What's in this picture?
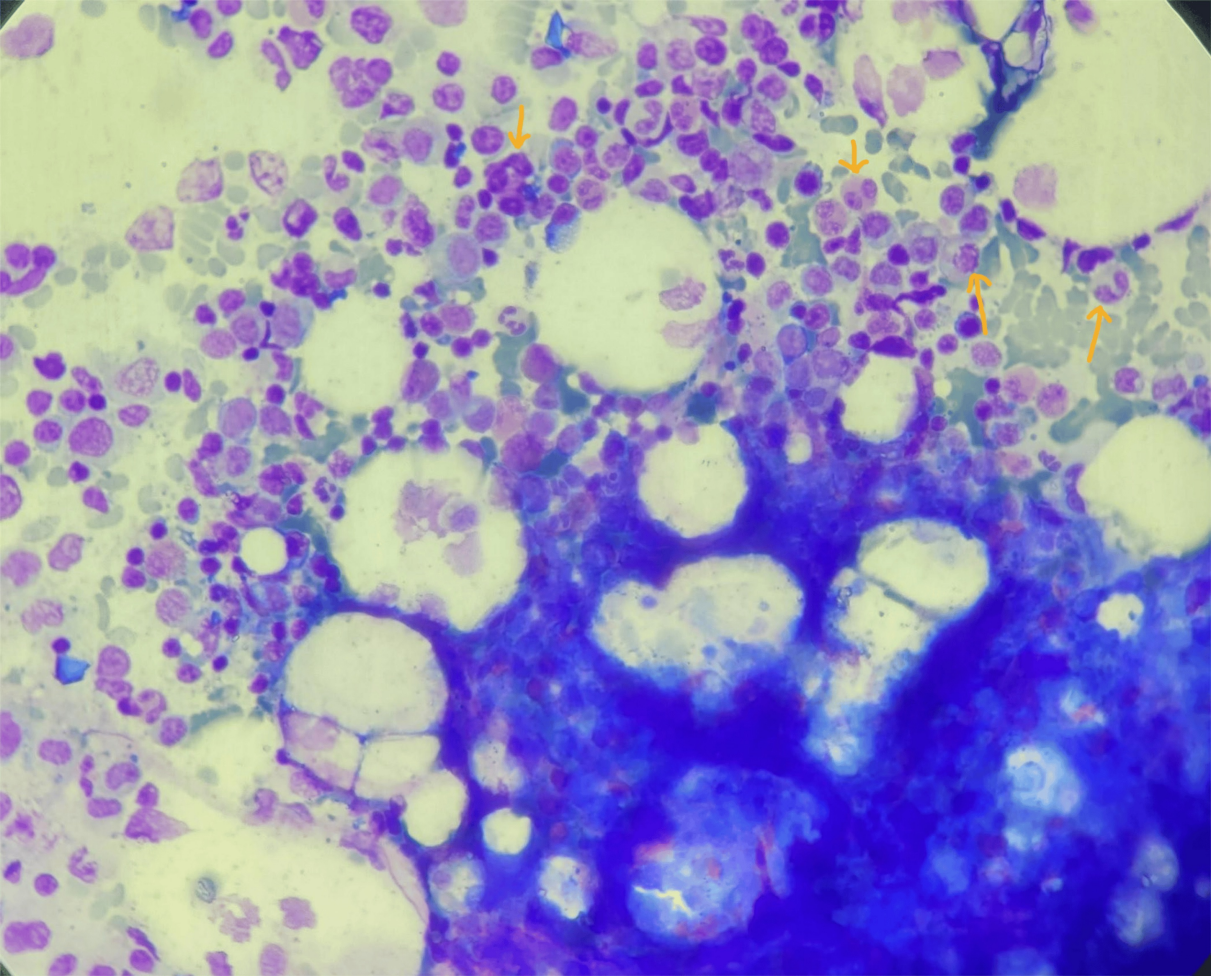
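A bone marrow aspirate smear shows many hematopoietic cells spread between round, clear fat spaces, with a dense, deep blue-purple marrow particle in the lower right. Small, dark, compact nuclei and pale red cells lie scattered among them in the background.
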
